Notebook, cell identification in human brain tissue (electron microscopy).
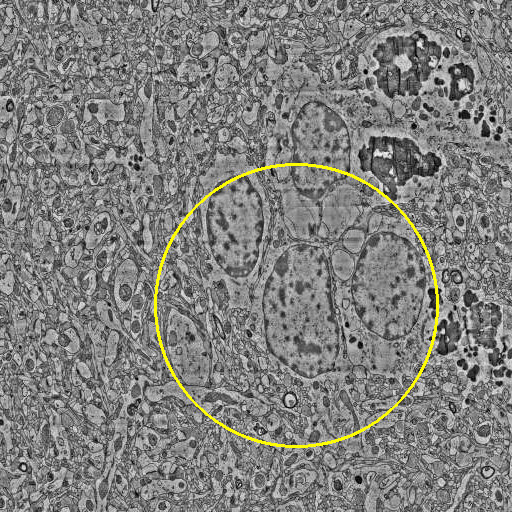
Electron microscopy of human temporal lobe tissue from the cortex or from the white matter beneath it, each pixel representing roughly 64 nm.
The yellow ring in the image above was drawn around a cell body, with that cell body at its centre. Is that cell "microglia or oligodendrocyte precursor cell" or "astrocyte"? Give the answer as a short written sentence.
The cell in the ring is an astrocyte.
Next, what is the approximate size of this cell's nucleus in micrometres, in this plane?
Approximately 8 x 5 micrometres in this plane.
